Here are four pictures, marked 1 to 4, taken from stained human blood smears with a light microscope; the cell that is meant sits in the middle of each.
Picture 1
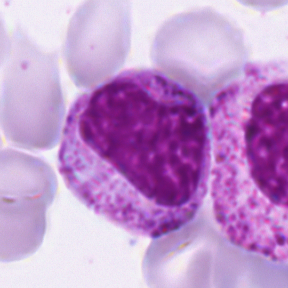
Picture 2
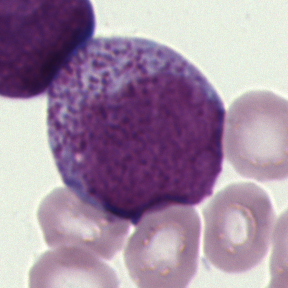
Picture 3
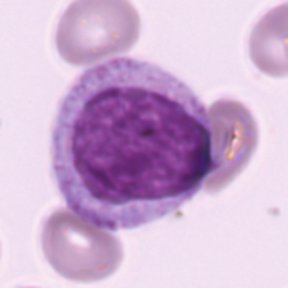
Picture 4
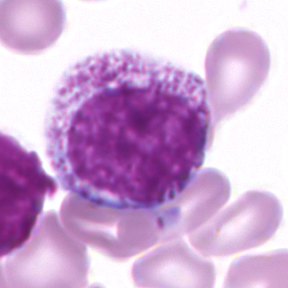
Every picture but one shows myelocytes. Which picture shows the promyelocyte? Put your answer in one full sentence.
The picture with the promyelocyte is 2.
